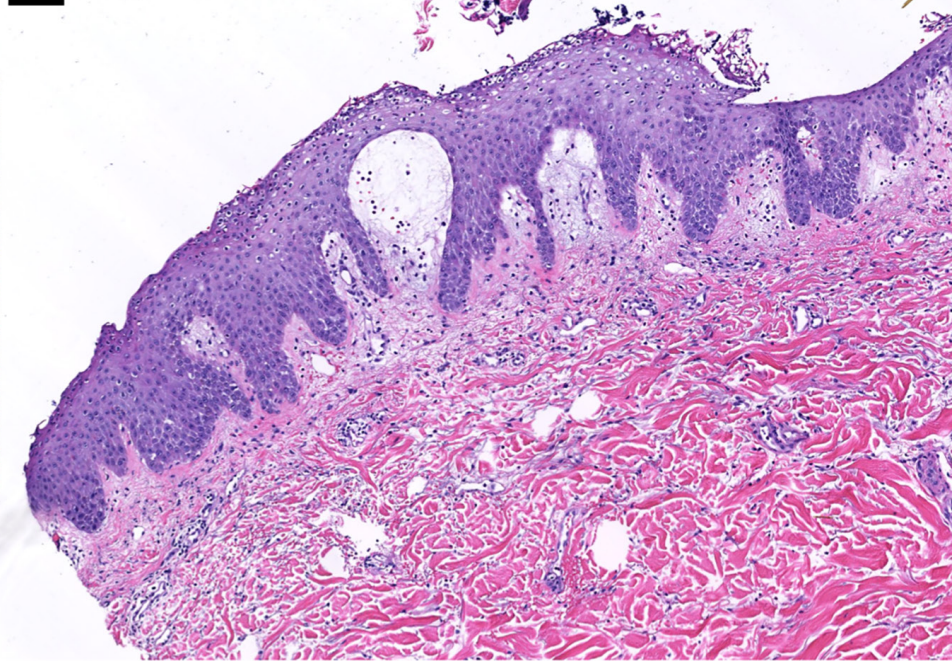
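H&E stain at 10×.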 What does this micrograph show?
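Skin with an acanthotic epidermis showing elongated rete ridges, a stratified squamous epithelium with purple-staining keratinocytes. The dermal papillae between the ridges are pale and loose, consistent with papillary dermal edema, and small clusters of dark-nucleated inflammatory cells lie around superficial vessels and between the pink collagen bundles of the upper dermis.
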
